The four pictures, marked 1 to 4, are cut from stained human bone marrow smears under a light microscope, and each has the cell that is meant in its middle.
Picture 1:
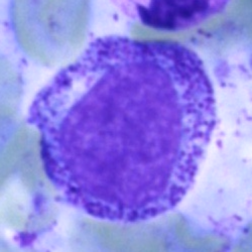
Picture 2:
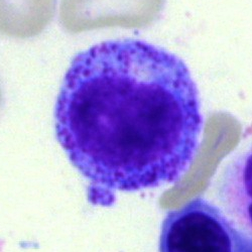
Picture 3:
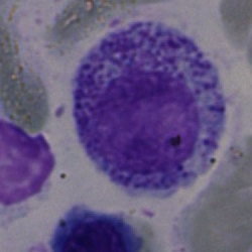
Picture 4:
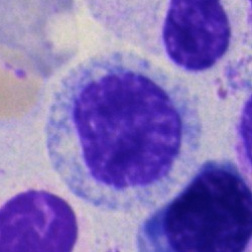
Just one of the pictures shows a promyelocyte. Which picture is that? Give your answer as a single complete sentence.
The promyelocyte is the one in picture 1.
